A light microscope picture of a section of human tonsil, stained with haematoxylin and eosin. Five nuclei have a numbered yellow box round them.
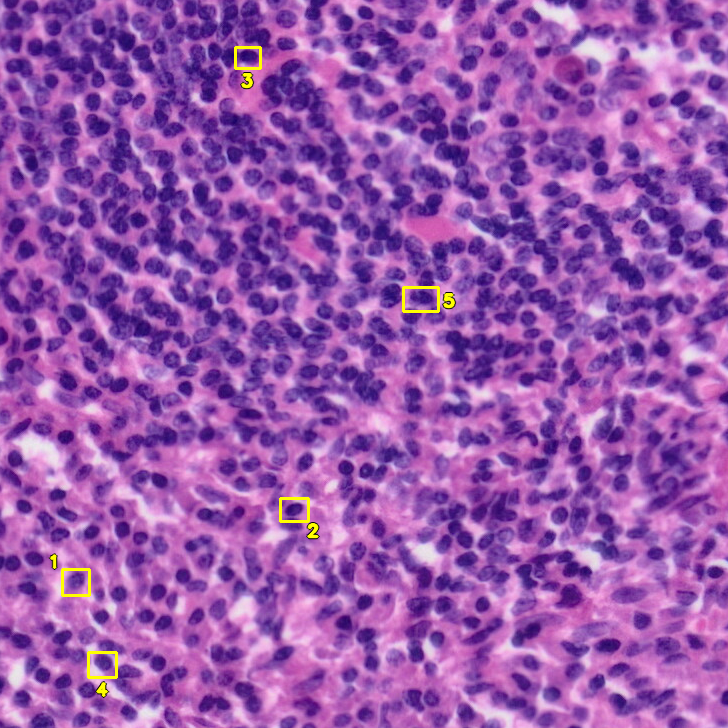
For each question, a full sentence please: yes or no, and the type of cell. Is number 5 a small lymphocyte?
Yes, cell number 5 is classified as a small lymphocyte.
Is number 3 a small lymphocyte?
Yes, the cell that has number 3 is a small lymphocyte.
